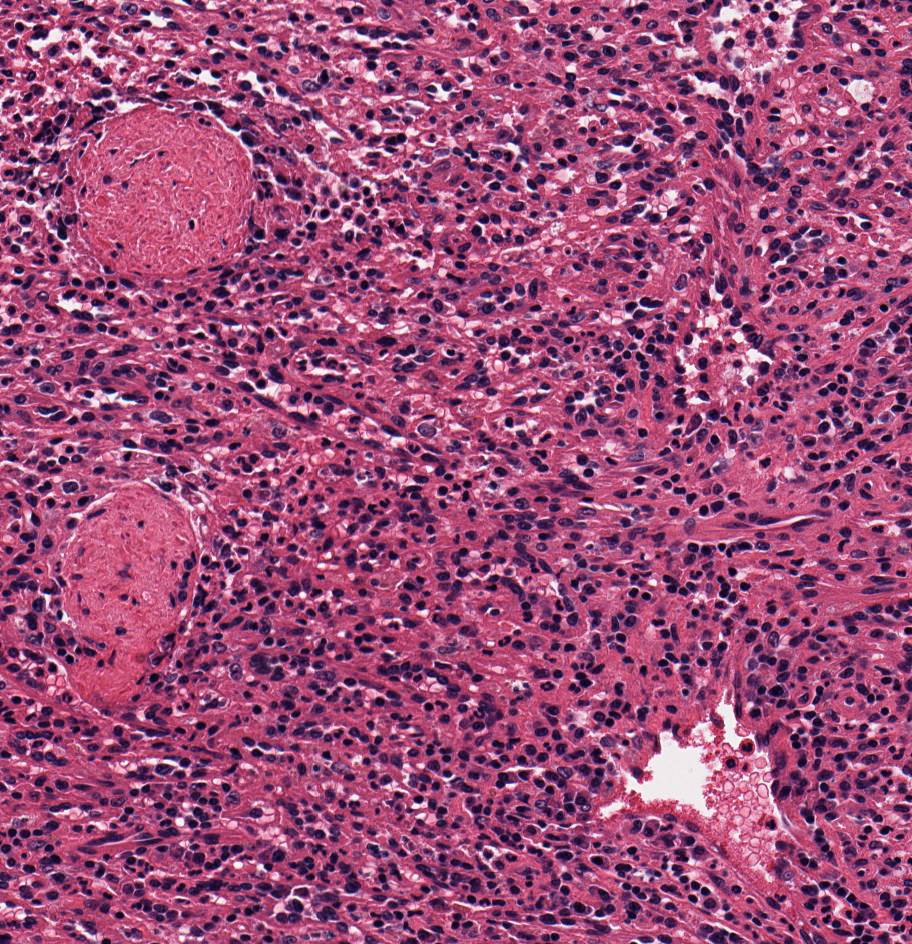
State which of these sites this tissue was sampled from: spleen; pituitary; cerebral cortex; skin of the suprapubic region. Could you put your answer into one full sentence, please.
The tissue fragment was taken from the spleen.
